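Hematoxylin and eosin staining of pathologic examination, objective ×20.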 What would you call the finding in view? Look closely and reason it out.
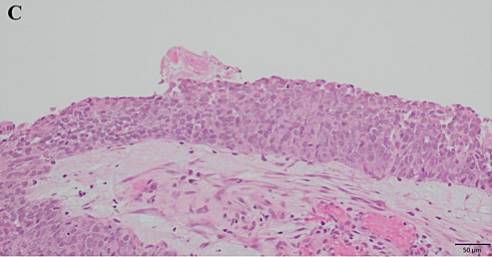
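A thick surface layer of crowded cells with dark nuclei lines the top. Loose pale stroma lies beneath the surface layer. More crowded cells appear below the stroma at the bottom.
Answer: intraepithelial carcinoma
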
